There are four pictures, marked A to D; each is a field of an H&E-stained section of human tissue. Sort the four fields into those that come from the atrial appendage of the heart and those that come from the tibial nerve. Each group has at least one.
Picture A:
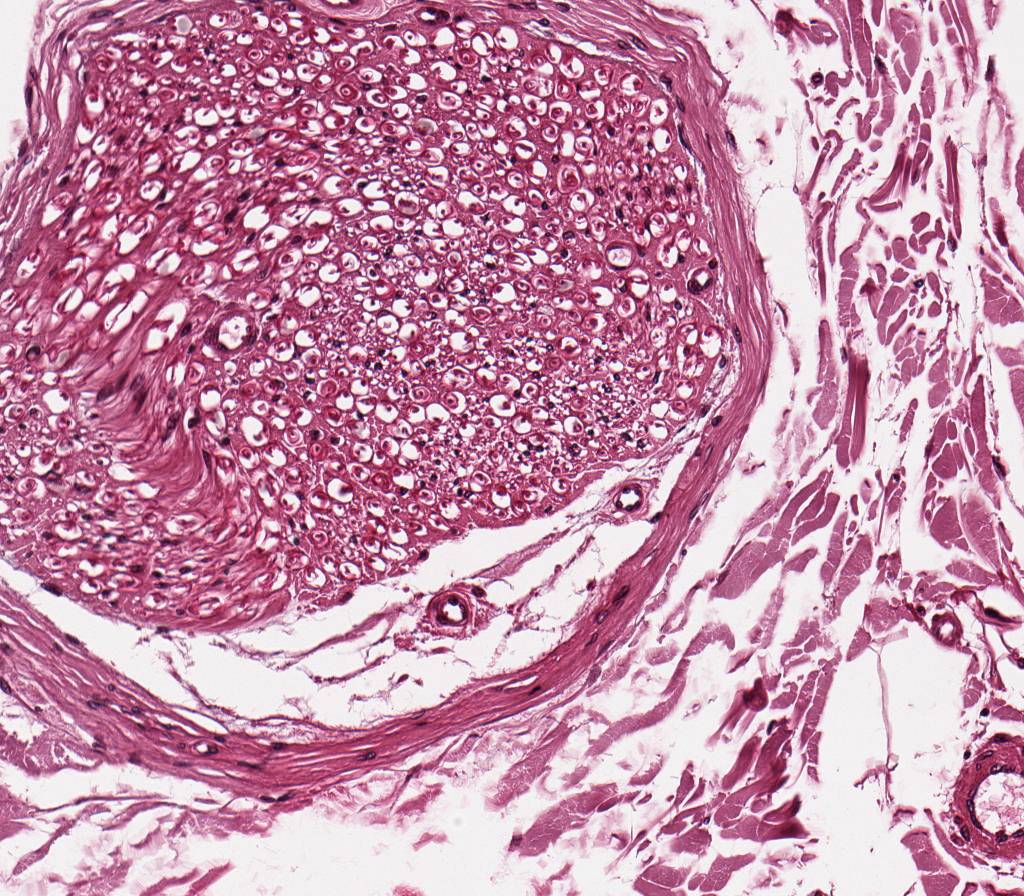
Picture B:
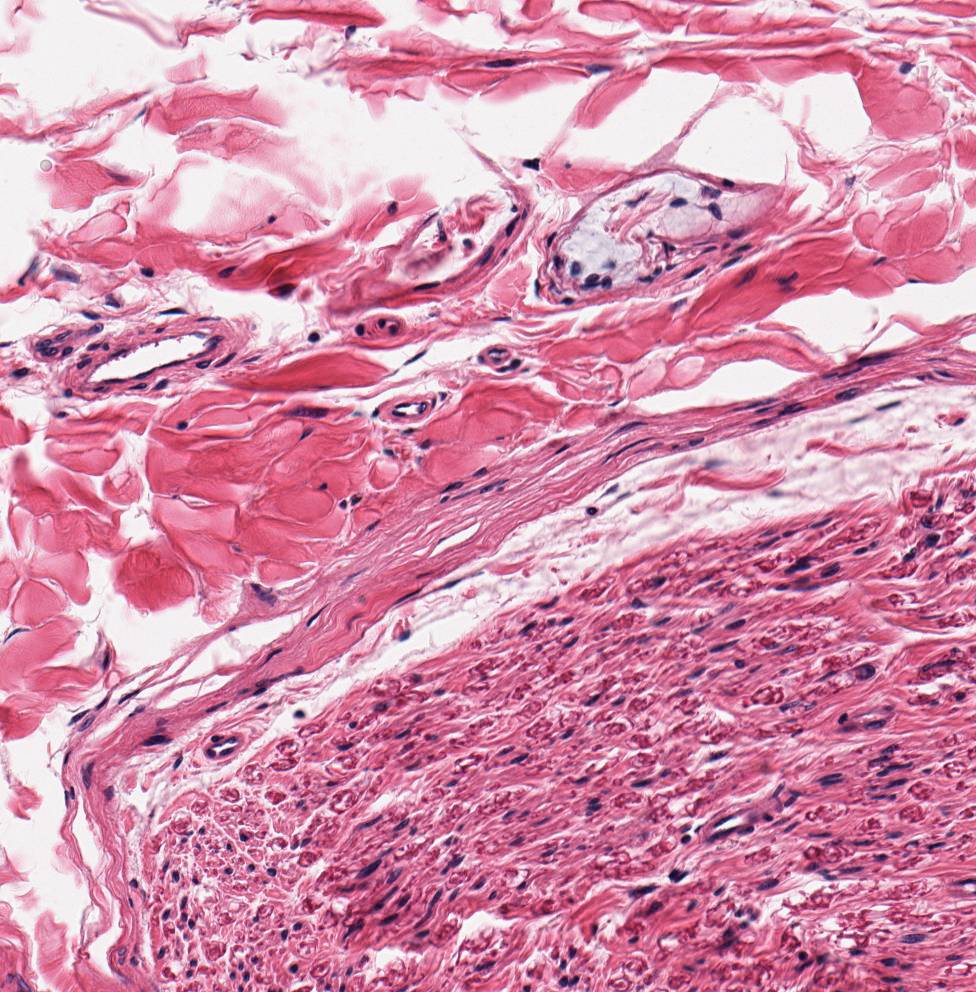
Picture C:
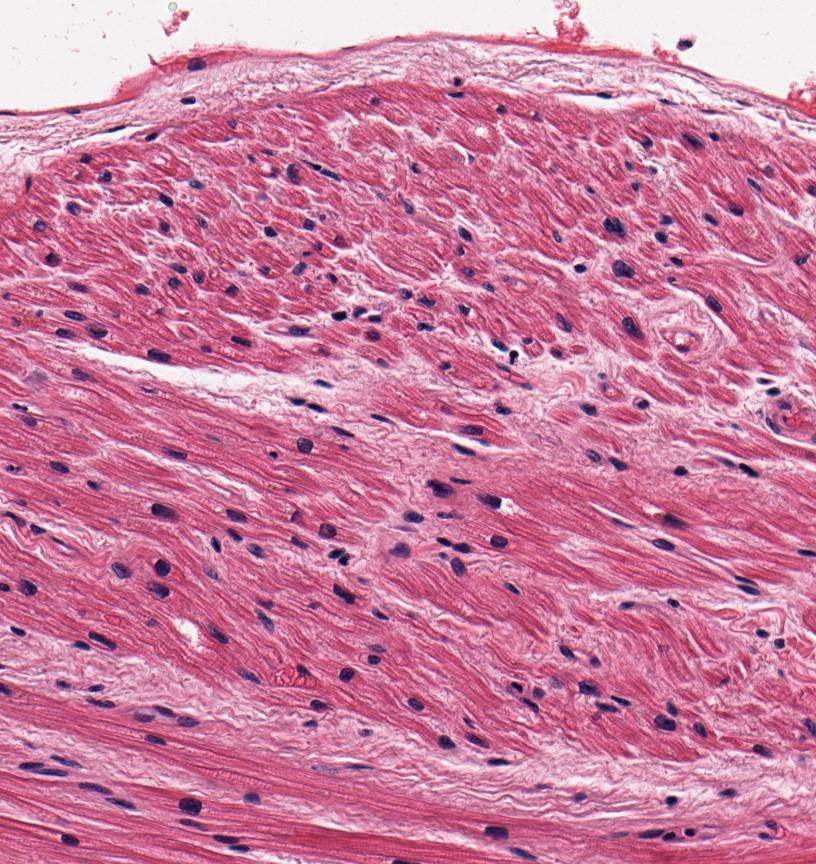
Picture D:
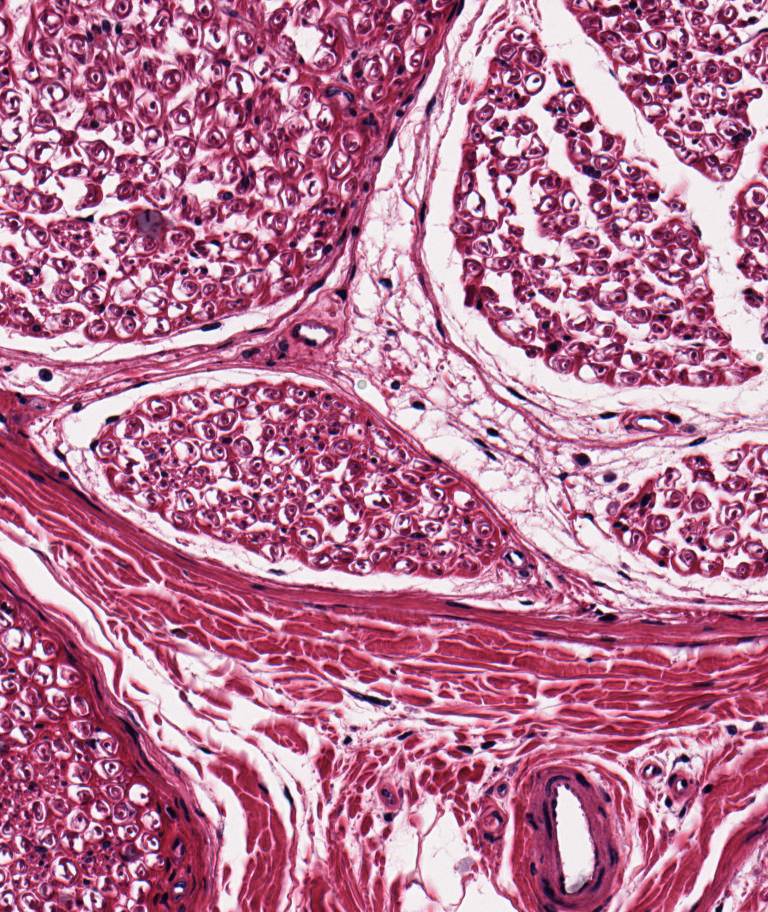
A: tibial nerve
B: tibial nerve
C: atrial appendage of the heart
D: tibial nerve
